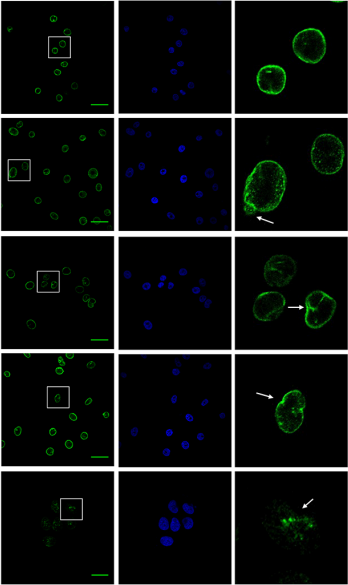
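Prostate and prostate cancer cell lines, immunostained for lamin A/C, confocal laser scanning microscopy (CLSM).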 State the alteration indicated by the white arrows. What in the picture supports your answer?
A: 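The nuclei in the top row have smooth, evenly outlined round or oval rims. The answer: nuclear deformities.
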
